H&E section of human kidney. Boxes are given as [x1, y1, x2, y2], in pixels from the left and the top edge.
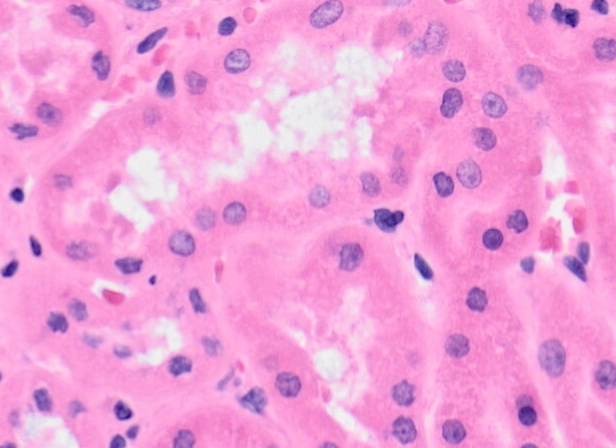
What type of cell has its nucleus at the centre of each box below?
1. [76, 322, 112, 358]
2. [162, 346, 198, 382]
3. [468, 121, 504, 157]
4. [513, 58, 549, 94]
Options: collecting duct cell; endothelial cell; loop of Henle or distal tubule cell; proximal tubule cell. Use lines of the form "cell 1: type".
cell 1: loop of Henle or distal tubule cell
cell 2: loop of Henle or distal tubule cell
cell 3: proximal tubule cell
cell 4: proximal tubule cell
